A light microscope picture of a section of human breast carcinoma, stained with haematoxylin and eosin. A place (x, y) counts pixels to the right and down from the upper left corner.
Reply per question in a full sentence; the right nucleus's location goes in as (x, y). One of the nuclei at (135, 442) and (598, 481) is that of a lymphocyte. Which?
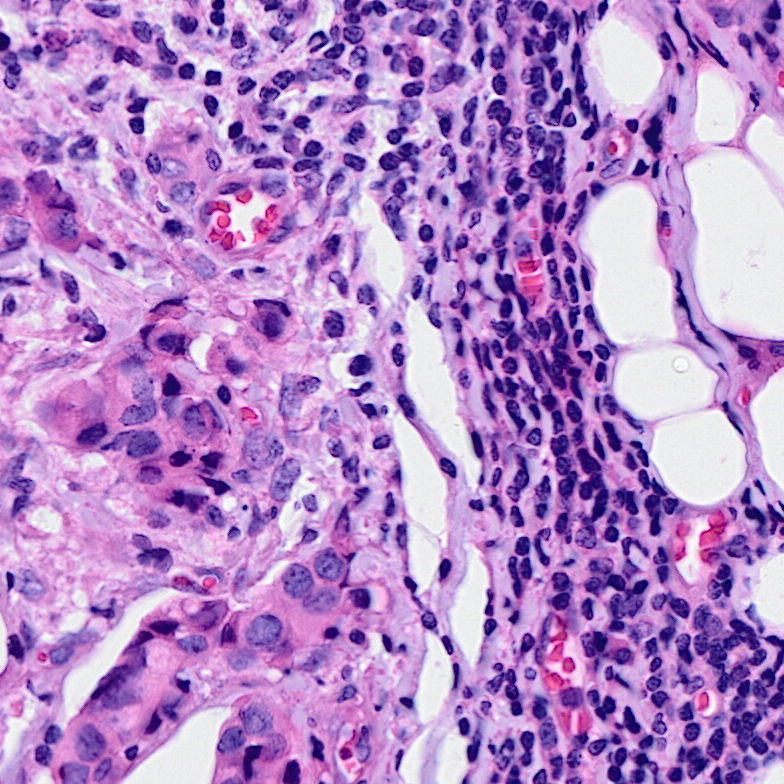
As for which of the two, the nucleus at (598, 481) belongs to a lymphocyte.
